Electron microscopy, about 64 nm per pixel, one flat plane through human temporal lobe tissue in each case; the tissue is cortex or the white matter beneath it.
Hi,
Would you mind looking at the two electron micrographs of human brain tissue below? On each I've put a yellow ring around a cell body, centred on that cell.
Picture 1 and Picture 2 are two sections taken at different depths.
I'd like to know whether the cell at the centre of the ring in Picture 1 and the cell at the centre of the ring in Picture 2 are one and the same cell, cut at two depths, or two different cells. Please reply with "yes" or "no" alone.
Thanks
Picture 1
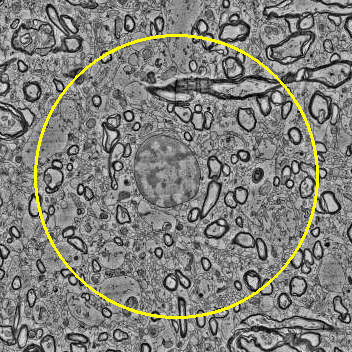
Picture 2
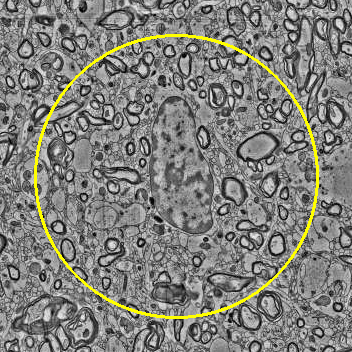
no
